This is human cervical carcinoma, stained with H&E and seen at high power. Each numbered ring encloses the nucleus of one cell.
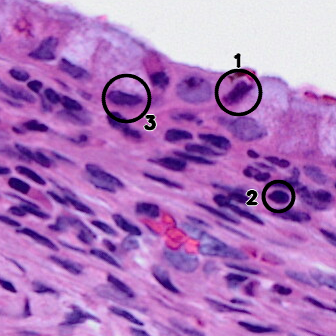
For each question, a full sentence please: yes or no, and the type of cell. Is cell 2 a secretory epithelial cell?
No, as for cell 2, it is a lymphocyte and not a secretory epithelial cell.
